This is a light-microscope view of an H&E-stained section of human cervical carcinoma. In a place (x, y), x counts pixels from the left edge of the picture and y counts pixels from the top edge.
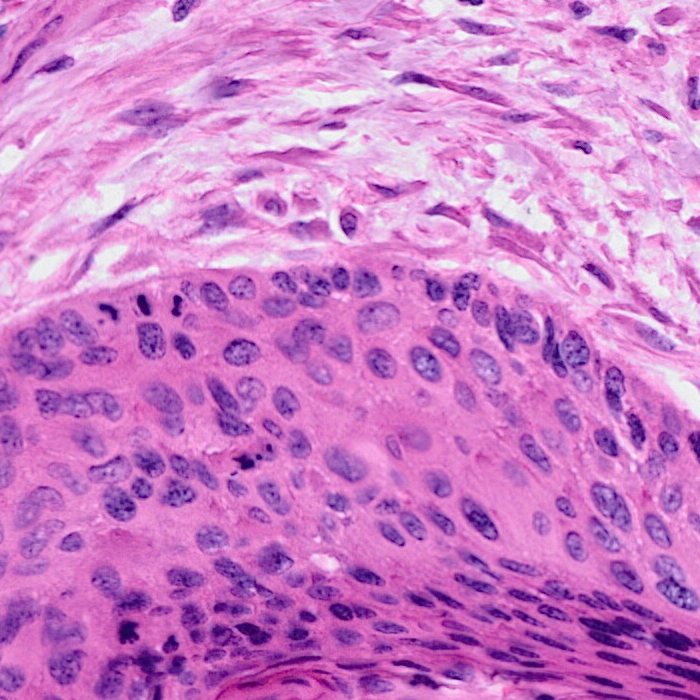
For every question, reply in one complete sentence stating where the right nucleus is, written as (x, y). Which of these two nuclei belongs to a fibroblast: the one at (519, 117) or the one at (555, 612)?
The nucleus at (519, 117) is part of a fibroblast, while the other is not.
